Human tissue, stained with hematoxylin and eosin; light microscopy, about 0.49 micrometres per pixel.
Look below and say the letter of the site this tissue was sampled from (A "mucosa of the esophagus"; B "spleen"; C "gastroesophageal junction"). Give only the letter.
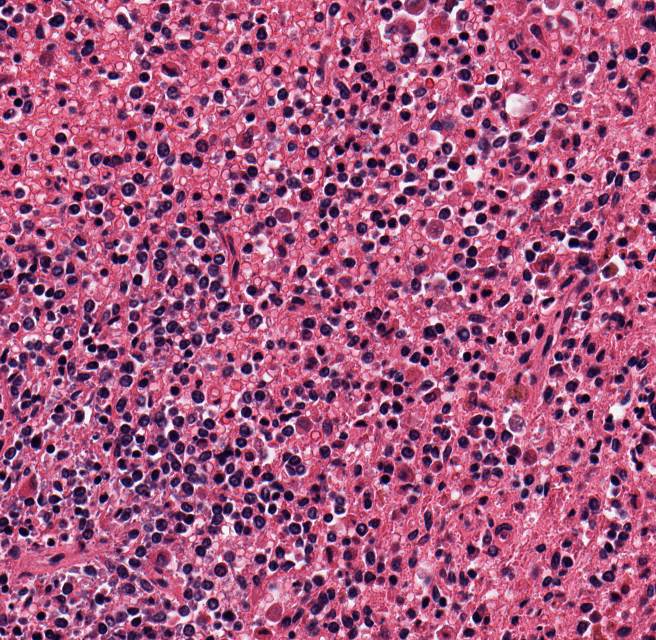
B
